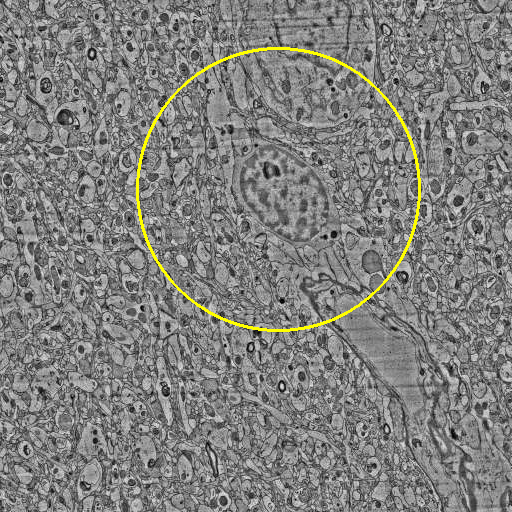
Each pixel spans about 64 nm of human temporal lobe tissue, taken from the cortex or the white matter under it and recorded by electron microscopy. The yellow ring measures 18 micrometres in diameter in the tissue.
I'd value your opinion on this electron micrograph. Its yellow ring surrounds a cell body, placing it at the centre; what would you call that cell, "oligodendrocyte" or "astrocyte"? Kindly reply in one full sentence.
It is an oligodendrocyte that sits centred within the yellow ring in this micrograph.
